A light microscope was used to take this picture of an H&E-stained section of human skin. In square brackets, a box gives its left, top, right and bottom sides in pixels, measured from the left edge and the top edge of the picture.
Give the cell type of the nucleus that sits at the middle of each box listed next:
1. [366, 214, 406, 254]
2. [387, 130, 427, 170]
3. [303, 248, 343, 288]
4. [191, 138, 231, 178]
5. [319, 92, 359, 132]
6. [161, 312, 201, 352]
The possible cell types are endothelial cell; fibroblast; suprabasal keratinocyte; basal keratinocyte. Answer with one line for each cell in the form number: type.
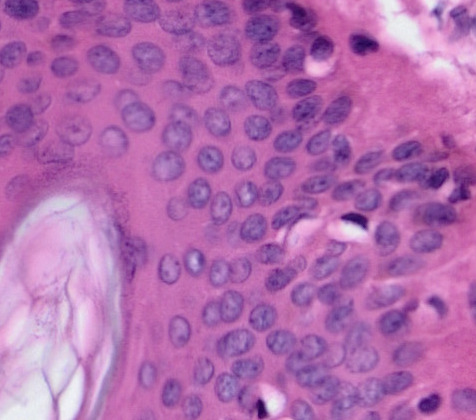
1: basal keratinocyte
2: basal keratinocyte
3: basal keratinocyte
4: suprabasal keratinocyte
5: basal keratinocyte
6: suprabasal keratinocyte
